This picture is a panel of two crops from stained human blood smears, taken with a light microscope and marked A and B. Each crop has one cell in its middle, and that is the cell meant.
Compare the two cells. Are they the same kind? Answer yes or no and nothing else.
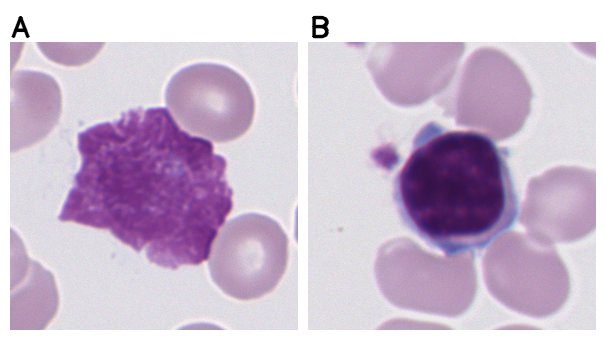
no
